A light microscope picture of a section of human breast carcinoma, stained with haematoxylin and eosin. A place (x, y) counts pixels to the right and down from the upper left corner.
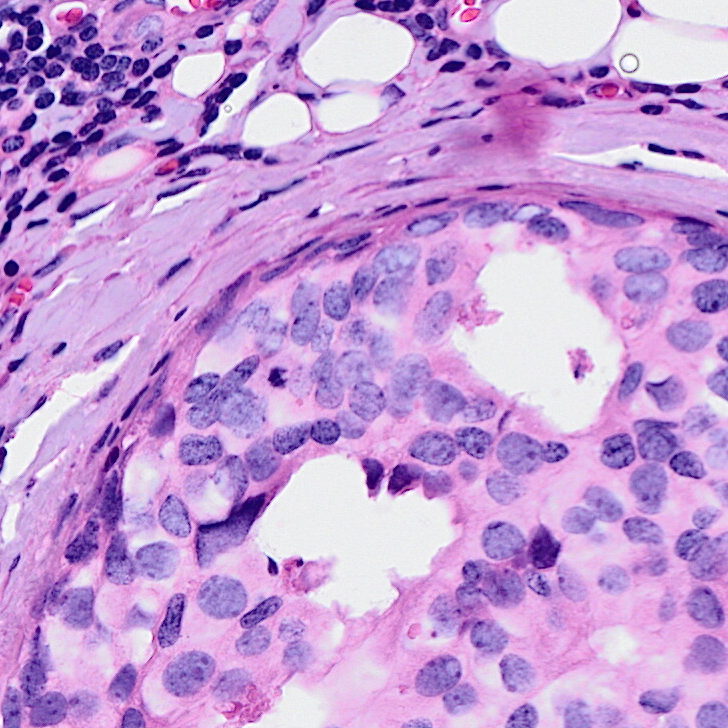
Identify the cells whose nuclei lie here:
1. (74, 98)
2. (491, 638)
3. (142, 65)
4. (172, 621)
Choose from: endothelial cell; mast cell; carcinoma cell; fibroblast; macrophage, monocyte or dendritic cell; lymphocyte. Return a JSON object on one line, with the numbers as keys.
{"1": "lymphocyte", "2": "carcinoma cell", "3": "lymphocyte", "4": "carcinoma cell"}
